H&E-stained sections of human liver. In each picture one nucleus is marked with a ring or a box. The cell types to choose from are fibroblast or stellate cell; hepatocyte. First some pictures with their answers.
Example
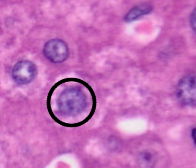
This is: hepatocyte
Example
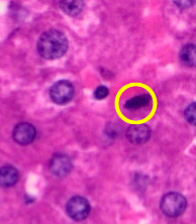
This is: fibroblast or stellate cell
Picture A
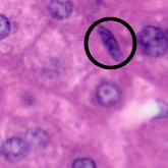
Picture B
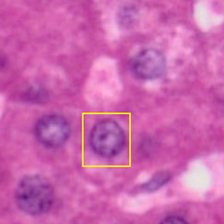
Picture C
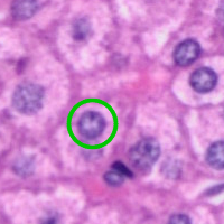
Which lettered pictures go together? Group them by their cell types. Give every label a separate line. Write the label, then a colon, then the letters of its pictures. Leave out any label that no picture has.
fibroblast or stellate cell: A
hepatocyte: B, C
